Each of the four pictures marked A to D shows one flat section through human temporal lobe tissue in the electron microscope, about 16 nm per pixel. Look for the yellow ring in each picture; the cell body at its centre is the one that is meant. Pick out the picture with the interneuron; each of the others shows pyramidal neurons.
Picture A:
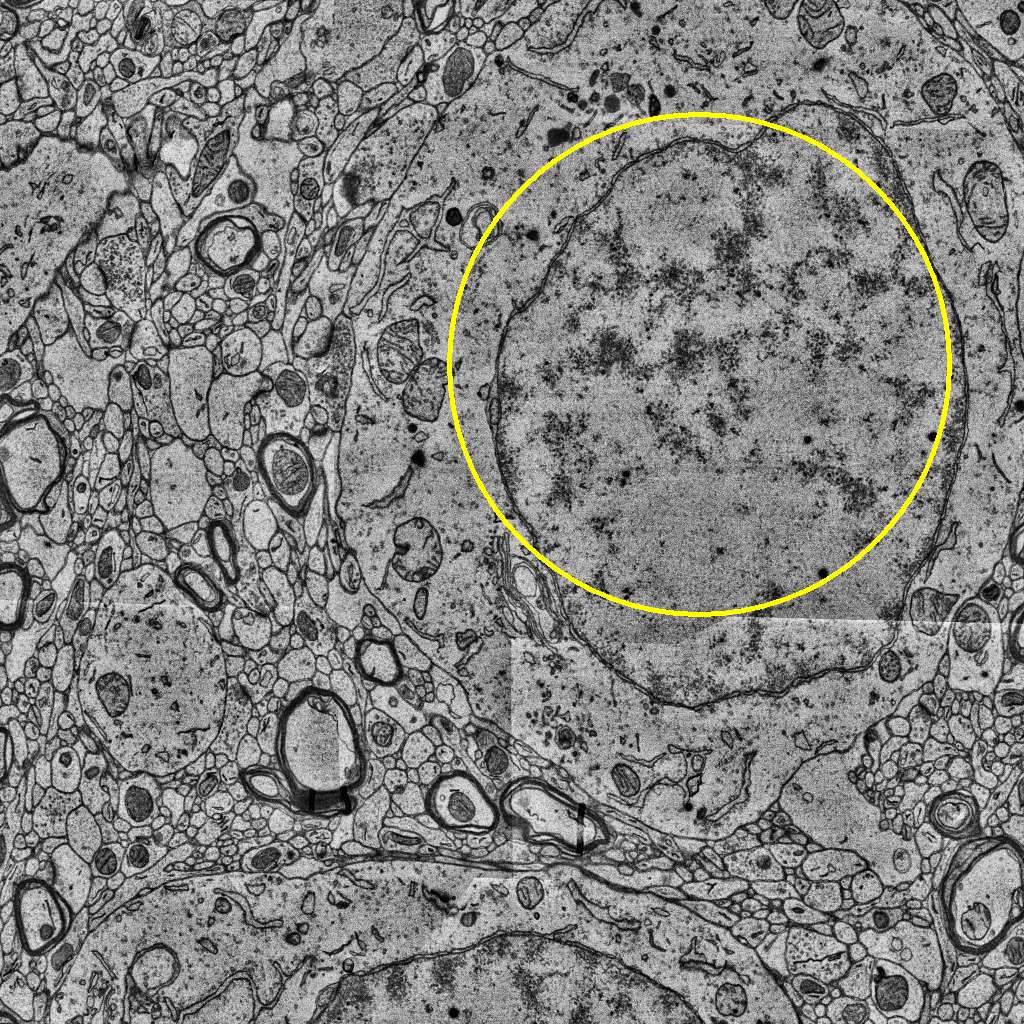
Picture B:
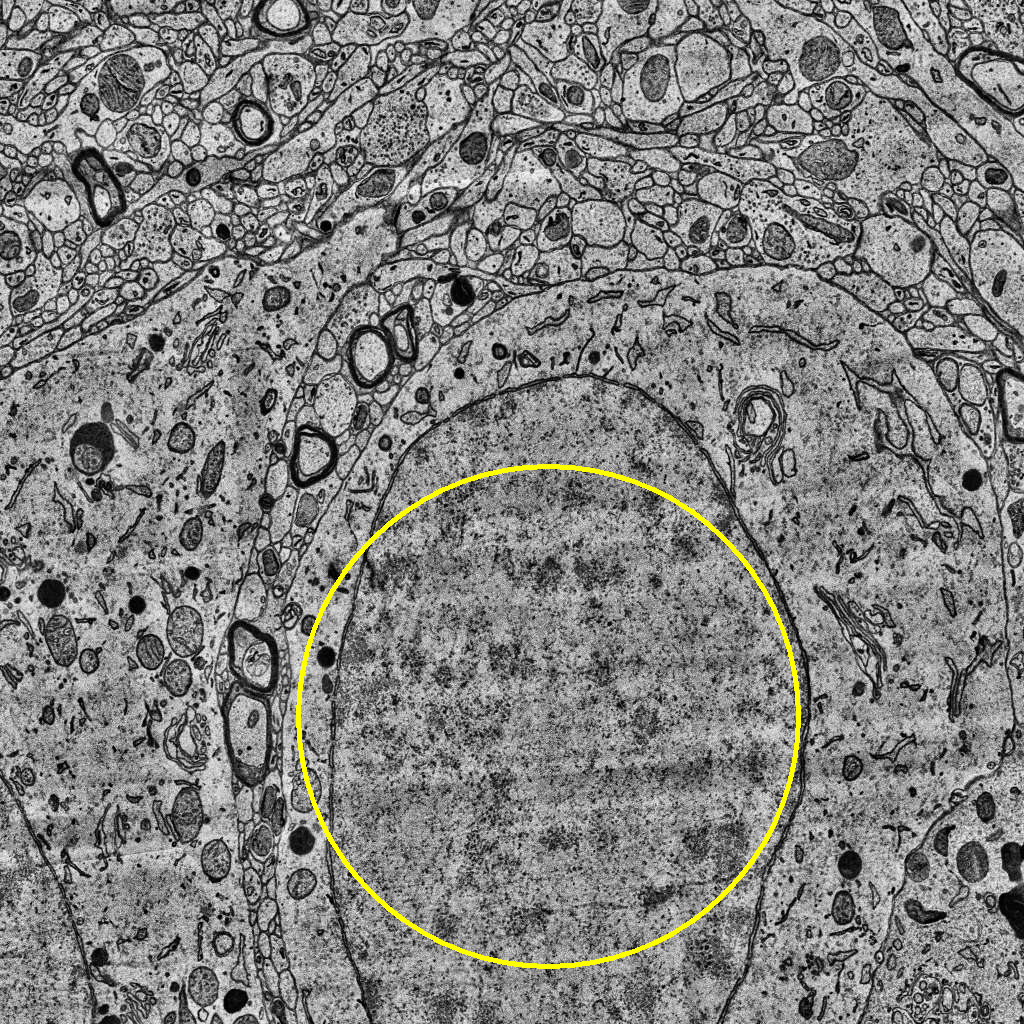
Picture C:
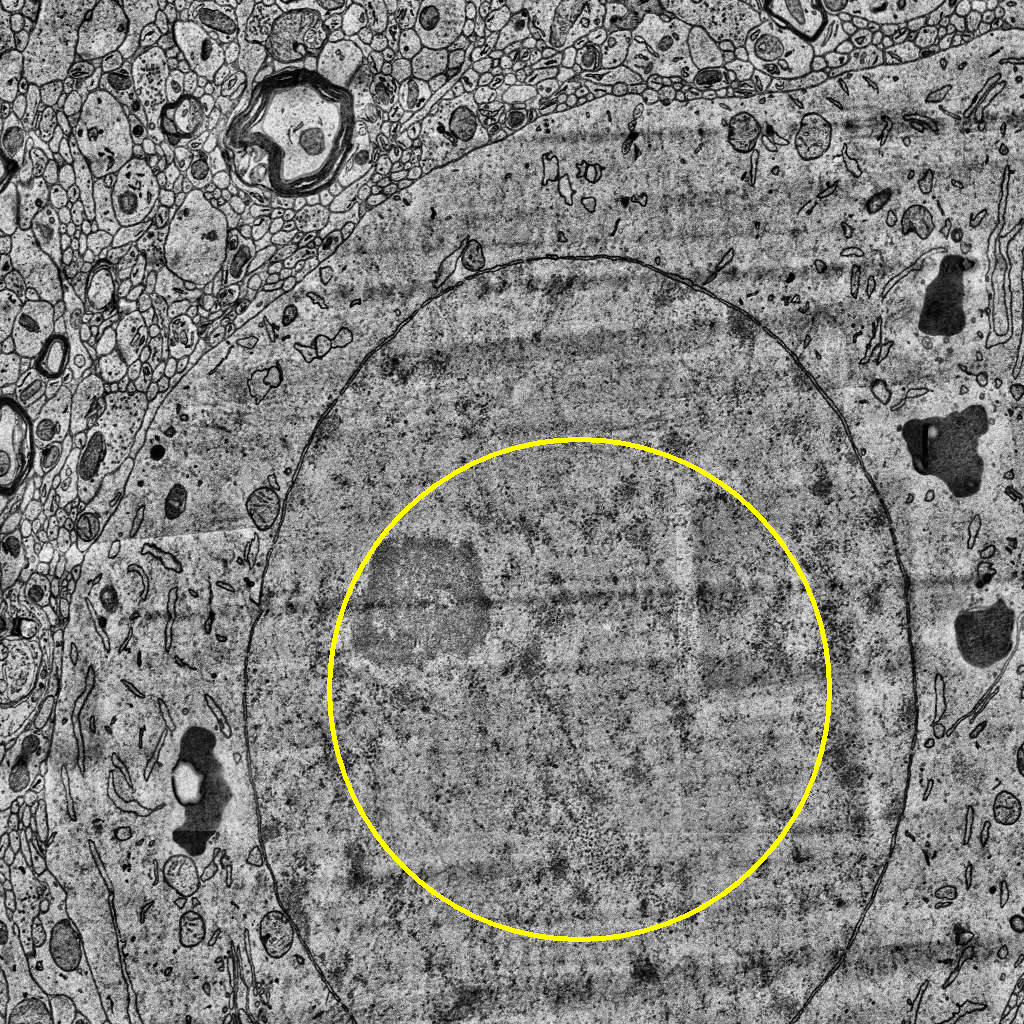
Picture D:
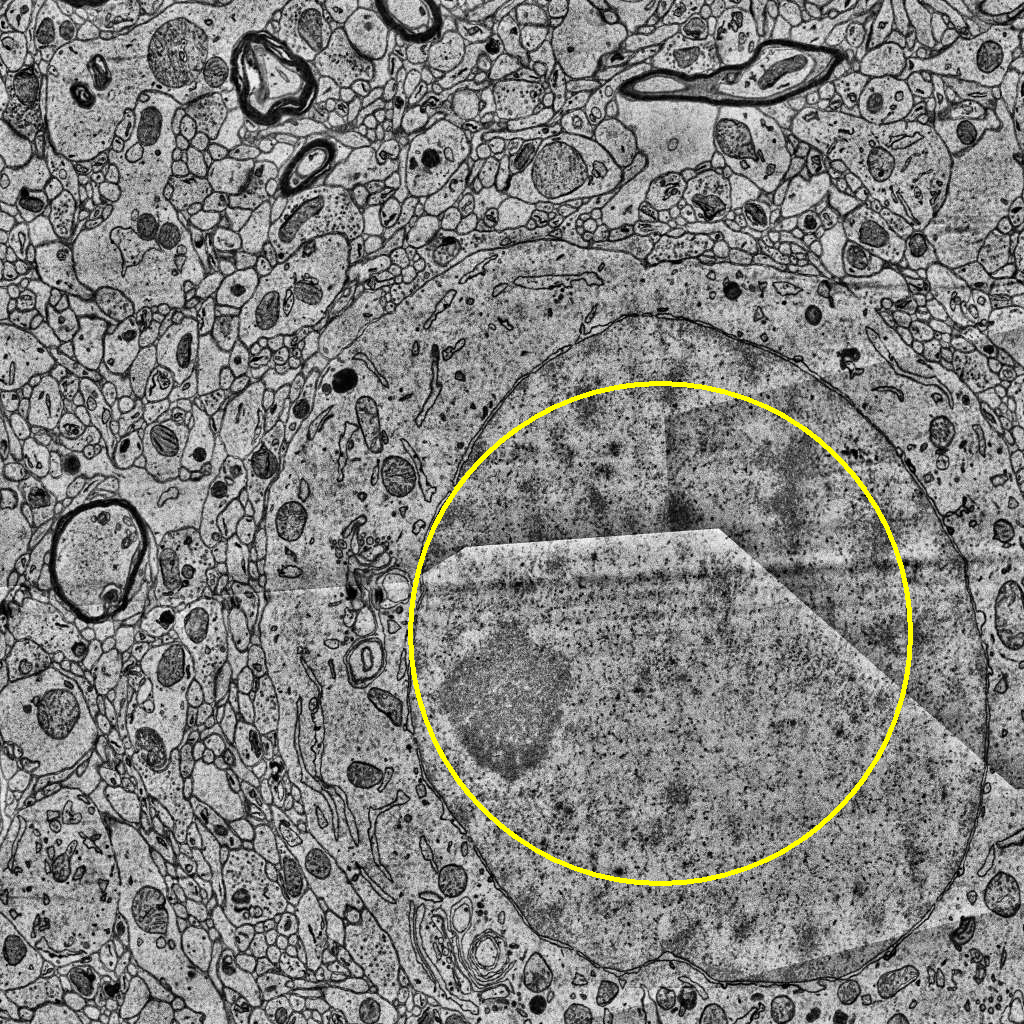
The interneuron is the one in picture D.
